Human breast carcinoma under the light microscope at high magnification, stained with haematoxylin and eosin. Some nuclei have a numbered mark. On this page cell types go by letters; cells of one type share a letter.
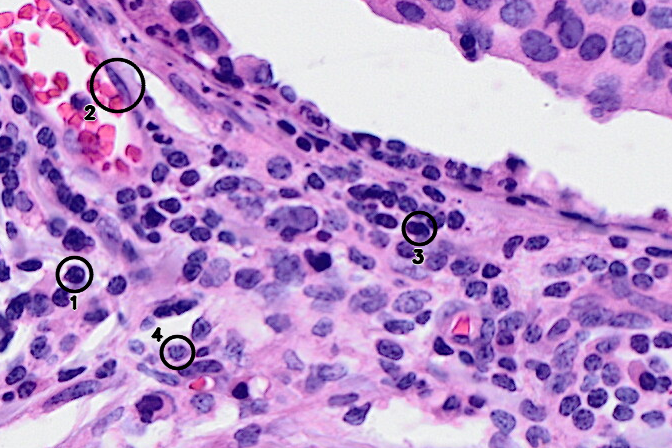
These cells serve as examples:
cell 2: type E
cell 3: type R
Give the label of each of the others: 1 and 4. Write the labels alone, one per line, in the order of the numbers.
type R
type R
